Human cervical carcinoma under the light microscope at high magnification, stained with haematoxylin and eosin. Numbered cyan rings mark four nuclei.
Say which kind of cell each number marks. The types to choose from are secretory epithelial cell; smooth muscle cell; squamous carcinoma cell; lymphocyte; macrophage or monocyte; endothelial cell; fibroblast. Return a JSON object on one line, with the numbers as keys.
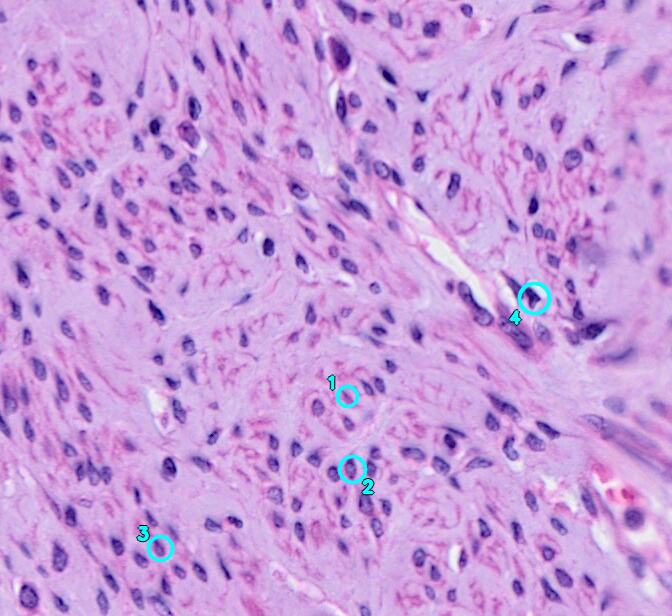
{"1": "smooth muscle cell", "2": "smooth muscle cell", "3": "smooth muscle cell", "4": "lymphocyte"}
